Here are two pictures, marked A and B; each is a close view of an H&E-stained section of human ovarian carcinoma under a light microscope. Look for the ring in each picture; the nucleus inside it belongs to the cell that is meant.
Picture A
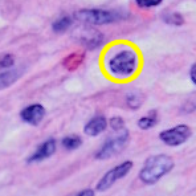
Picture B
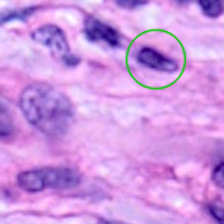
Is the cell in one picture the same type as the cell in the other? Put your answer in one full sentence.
Yes, the two pictures both show lymphocytes.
